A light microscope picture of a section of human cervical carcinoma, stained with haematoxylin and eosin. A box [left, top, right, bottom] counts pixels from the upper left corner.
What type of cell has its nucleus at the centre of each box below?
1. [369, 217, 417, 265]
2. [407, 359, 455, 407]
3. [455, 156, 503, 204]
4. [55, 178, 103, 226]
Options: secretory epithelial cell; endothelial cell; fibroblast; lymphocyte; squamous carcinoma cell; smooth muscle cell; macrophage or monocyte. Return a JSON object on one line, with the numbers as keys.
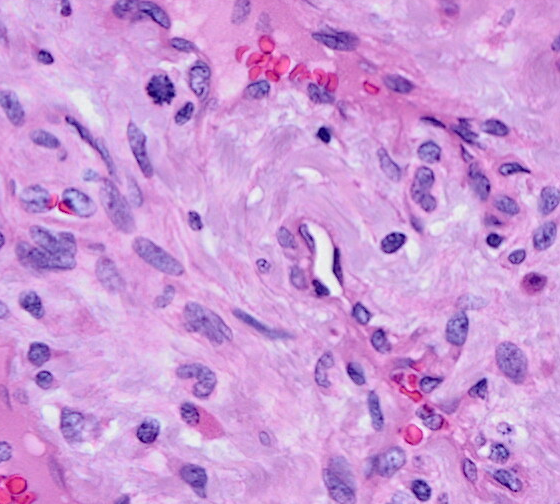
{"1": "lymphocyte", "2": "endothelial cell", "3": "endothelial cell", "4": "endothelial cell"}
